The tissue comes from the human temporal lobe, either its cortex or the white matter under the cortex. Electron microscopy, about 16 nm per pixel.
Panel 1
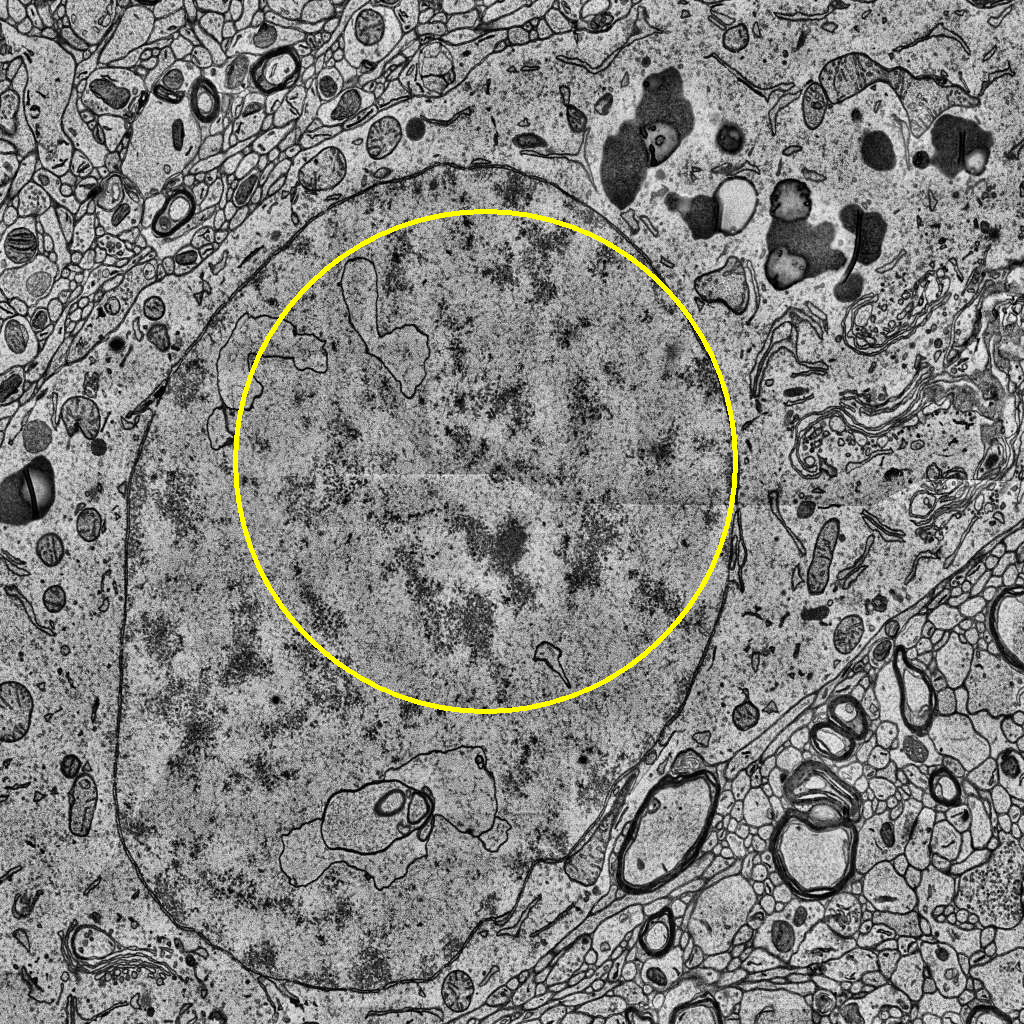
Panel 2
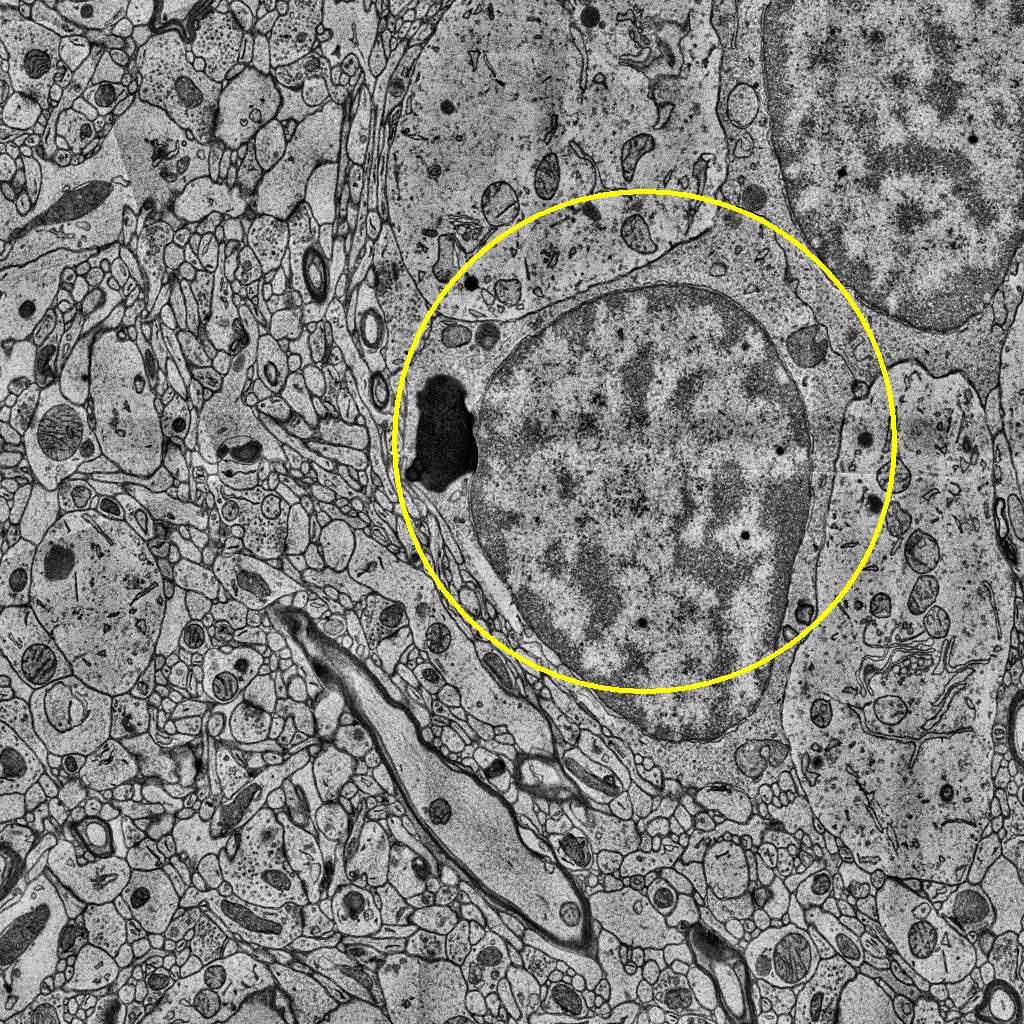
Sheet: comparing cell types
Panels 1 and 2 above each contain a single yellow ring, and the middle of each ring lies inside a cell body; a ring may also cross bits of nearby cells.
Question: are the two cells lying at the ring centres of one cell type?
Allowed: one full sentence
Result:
No, the cells at the ring centres in Panel 1 and Panel 2 are of two types.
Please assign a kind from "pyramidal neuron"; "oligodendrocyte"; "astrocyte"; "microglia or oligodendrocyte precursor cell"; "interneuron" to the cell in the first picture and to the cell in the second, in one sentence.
The cell in the first picture is a pyramidal neuron, and the cell in the second is an oligodendrocyte.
